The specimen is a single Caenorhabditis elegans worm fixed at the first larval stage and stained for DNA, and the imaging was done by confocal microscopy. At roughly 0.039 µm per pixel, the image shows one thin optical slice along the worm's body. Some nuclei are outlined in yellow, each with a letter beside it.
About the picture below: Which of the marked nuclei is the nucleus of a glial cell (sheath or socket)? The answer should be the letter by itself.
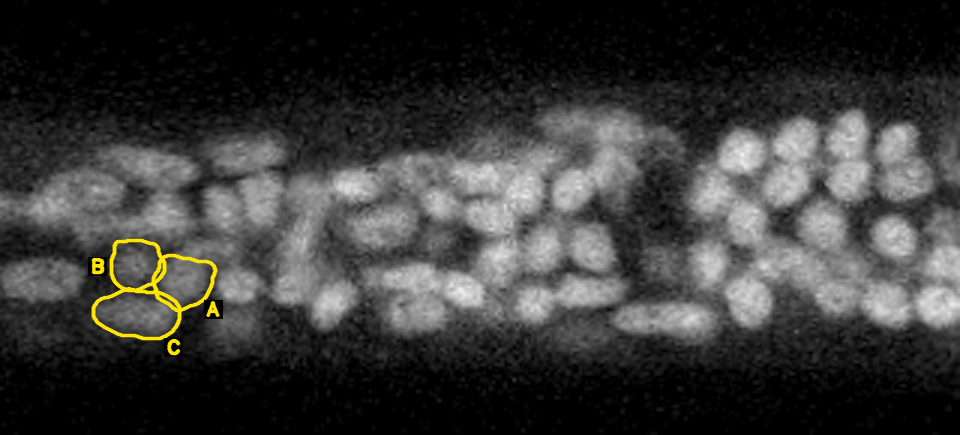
A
